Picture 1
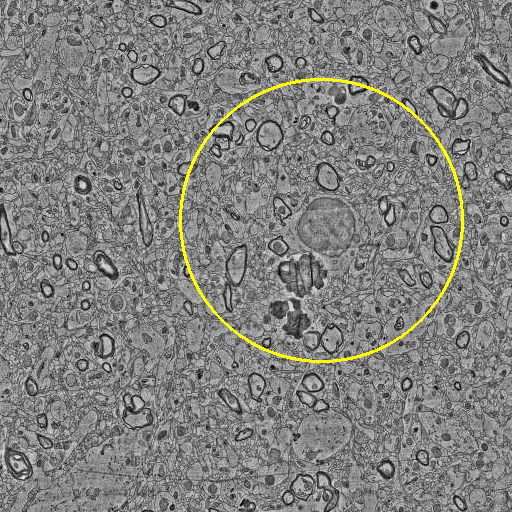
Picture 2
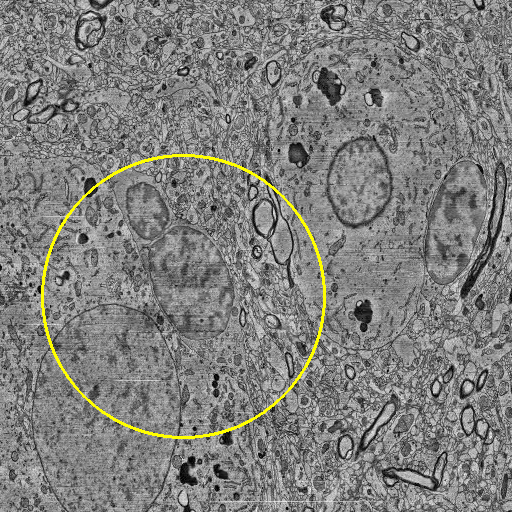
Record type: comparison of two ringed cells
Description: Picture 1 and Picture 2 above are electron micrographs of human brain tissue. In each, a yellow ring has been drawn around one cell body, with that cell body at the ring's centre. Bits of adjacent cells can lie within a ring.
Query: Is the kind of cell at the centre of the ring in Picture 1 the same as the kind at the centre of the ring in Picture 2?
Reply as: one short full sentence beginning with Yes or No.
Yes, the two ringed cells are of the same kind.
